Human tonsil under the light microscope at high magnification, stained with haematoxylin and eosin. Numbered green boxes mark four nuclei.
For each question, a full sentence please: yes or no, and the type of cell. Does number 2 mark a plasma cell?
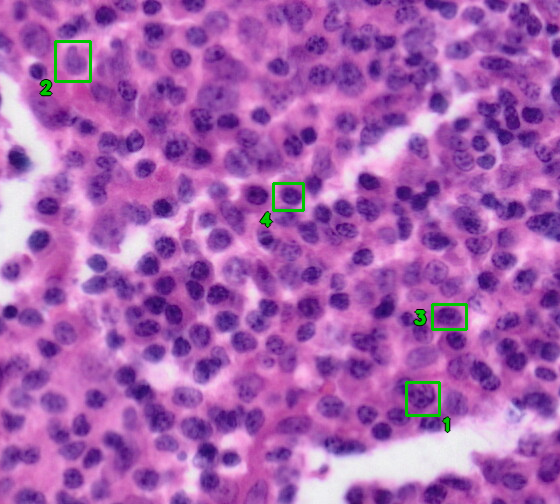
No, cell 2 should be read as a squamous epithelial cell instead of a plasma cell.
